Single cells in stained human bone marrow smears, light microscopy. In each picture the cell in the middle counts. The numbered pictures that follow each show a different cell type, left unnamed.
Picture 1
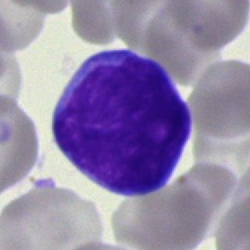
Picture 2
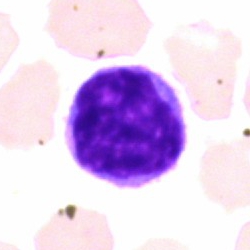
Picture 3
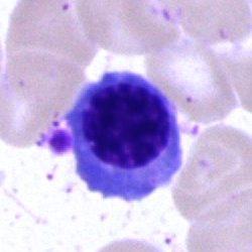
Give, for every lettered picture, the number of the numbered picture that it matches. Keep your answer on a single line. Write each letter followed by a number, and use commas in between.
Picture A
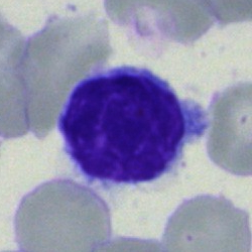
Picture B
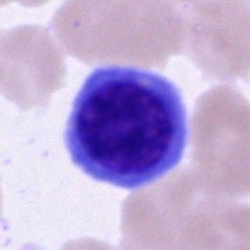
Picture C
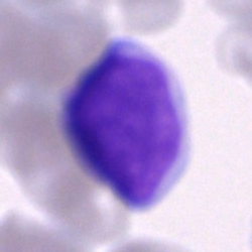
A 2, B 3, C 1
